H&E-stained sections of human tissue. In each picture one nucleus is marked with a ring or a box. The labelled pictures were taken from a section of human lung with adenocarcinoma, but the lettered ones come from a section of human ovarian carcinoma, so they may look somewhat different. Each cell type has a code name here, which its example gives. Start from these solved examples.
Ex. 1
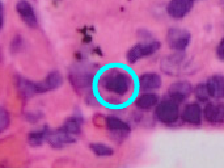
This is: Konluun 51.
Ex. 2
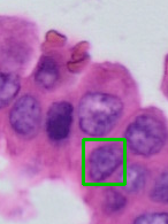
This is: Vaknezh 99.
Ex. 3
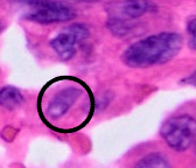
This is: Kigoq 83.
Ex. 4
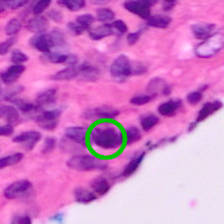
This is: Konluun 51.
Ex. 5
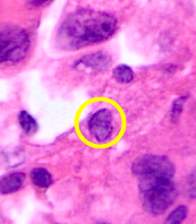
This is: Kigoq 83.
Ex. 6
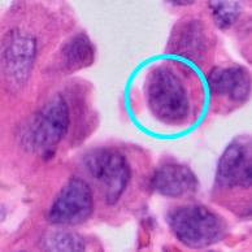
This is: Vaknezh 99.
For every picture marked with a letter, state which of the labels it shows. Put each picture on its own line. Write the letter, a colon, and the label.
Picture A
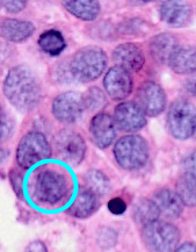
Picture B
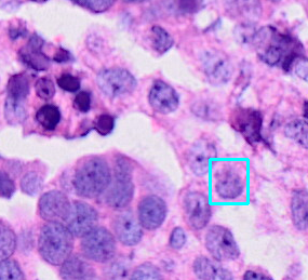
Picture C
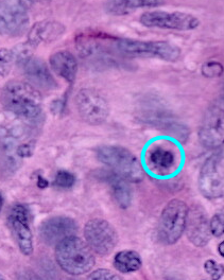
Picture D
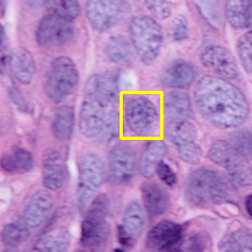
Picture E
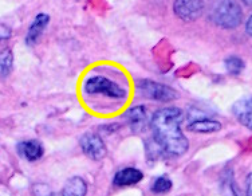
A: Vaknezh 99.
B: Kigoq 83.
C: Konluun 51.
D: Vaknezh 99.
E: Konluun 51.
